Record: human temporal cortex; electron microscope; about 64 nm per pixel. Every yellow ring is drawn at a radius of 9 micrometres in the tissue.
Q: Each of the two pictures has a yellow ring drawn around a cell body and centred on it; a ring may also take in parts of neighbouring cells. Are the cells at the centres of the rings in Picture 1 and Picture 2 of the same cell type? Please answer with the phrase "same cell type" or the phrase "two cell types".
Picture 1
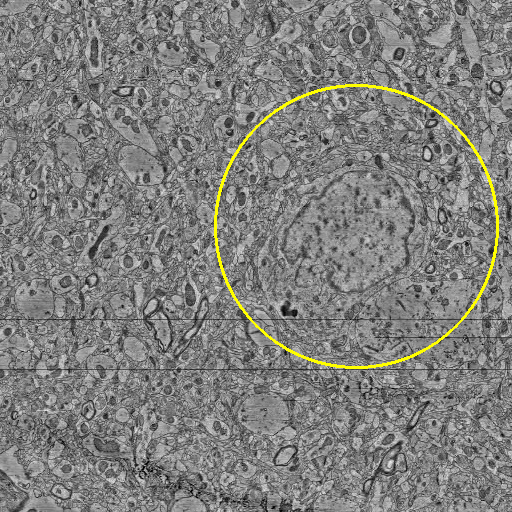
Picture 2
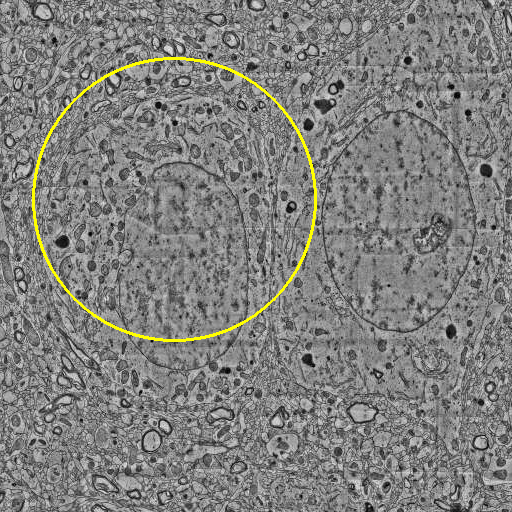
same cell type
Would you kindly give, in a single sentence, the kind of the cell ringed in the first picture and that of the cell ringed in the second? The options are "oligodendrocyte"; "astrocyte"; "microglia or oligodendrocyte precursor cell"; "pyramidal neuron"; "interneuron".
In each picture the ringed cell is an interneuron.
